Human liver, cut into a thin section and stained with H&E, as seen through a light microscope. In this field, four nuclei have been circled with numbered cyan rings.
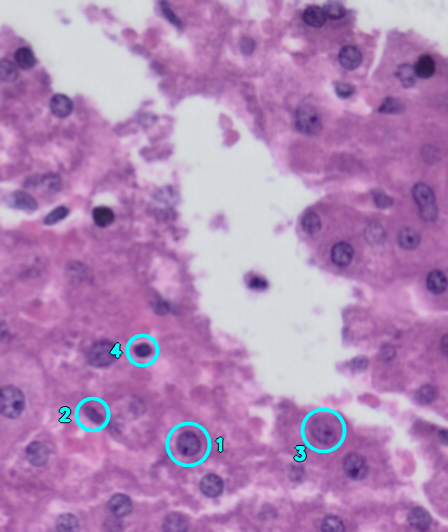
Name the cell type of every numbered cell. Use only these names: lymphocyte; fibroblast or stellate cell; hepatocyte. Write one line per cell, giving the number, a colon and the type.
1: hepatocyte
2: fibroblast or stellate cell
3: hepatocyte
4: lymphocyte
